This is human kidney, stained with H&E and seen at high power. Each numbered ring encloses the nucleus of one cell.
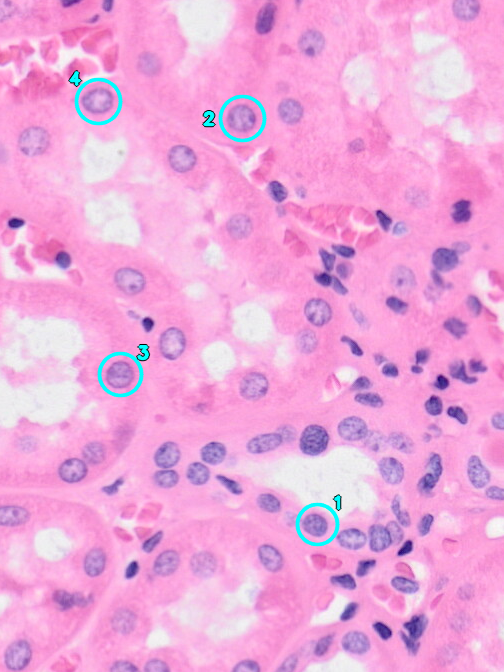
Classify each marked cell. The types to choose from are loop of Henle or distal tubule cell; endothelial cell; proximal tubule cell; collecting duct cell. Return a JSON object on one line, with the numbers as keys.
{"1": "collecting duct cell", "2": "proximal tubule cell", "3": "proximal tubule cell", "4": "proximal tubule cell"}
